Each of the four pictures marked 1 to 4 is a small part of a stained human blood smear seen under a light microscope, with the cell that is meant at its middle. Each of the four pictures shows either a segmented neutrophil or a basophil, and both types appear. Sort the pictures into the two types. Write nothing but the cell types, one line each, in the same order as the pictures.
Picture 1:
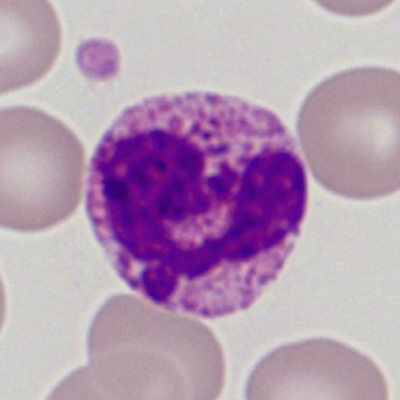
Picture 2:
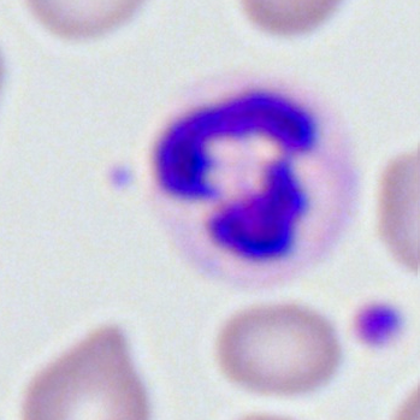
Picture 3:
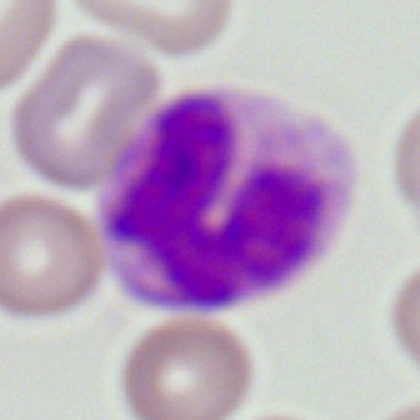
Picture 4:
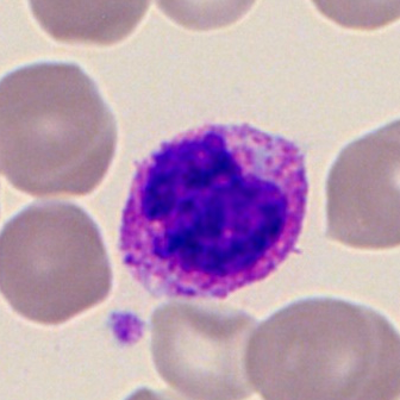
basophil
segmented neutrophil
basophil
basophil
